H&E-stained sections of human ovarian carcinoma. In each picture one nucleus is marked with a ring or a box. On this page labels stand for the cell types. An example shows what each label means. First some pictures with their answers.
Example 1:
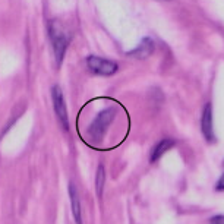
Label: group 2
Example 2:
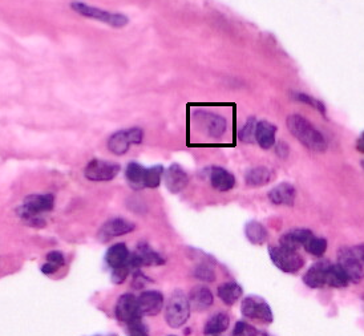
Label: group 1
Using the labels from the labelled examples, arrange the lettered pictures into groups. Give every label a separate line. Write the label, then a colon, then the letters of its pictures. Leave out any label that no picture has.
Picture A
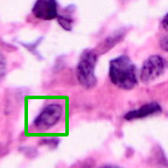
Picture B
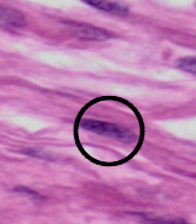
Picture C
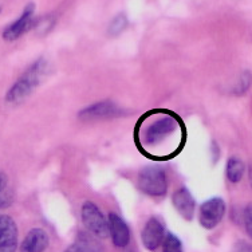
group 2: B
group 1: A, C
